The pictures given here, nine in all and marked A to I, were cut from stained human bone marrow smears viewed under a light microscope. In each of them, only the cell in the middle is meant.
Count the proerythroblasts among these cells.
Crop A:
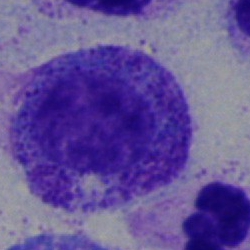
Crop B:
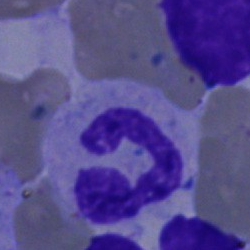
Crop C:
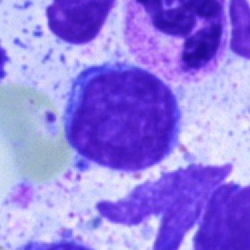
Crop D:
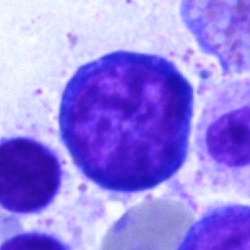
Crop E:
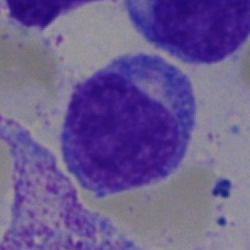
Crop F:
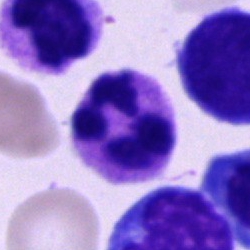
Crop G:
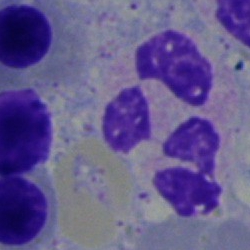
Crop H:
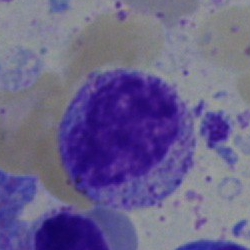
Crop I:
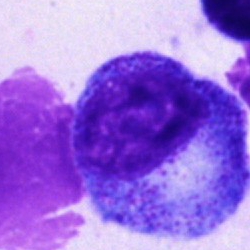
1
